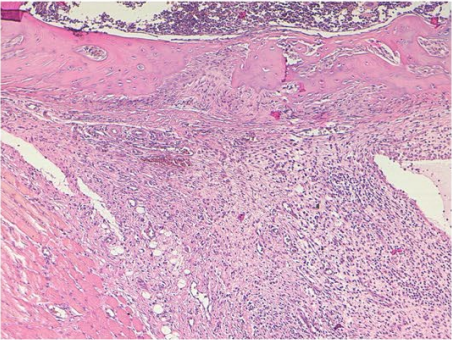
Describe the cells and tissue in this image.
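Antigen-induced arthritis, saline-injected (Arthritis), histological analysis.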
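Below a strip of pink, irregular matrix lies a broad expanse of soft tissue crowded with countless small dark nuclei, spread thickly and in streams. The thickened soft tissue densely filled with cells is hyperplastic synovial tissue with heavy infiltration of inflammatory cells, next to damaged cartilage.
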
